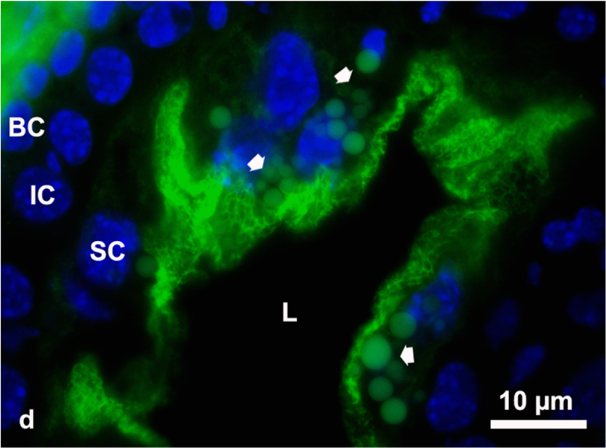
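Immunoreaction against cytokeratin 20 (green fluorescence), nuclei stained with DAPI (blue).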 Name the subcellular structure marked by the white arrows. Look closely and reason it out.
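Round pale green spherical granules of varying size near the lumen. Granules cluster beside blue nuclei in superficial cells. So: lipofuscin granules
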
